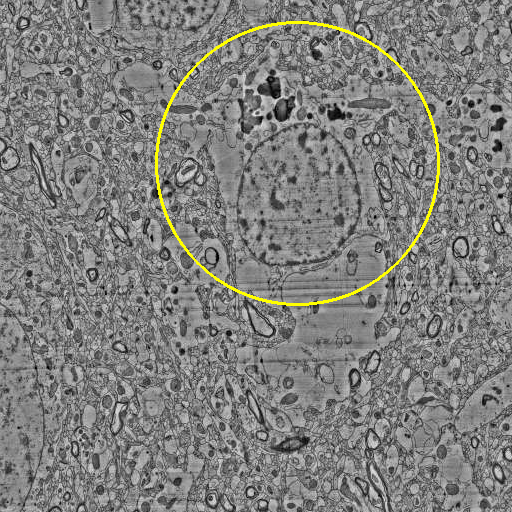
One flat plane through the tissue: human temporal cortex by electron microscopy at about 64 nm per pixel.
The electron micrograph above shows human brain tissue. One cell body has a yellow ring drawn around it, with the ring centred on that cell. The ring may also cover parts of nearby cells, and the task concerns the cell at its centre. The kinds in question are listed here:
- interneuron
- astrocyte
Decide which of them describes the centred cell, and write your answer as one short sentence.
The centred cell is an astrocyte.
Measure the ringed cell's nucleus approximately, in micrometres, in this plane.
The nucleus measures about 9 by 8 micrometres in this plane.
